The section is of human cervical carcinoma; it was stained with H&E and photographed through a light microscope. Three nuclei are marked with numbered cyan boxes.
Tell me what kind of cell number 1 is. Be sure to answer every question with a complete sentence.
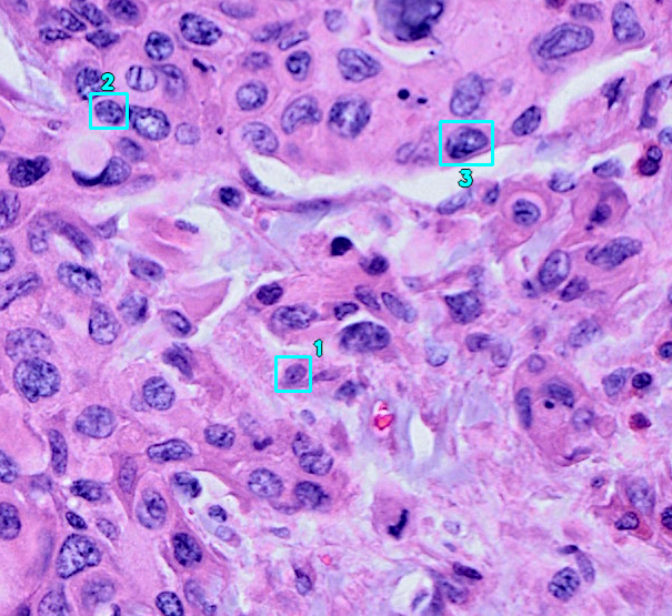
Recognised here as a macrophage or monocyte is the cell numbered 1.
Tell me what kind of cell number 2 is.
The nucleus labeled 2 belongs to a squamous carcinoma cell.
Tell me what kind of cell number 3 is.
Classified as a squamous carcinoma cell is the cell with the number 3.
